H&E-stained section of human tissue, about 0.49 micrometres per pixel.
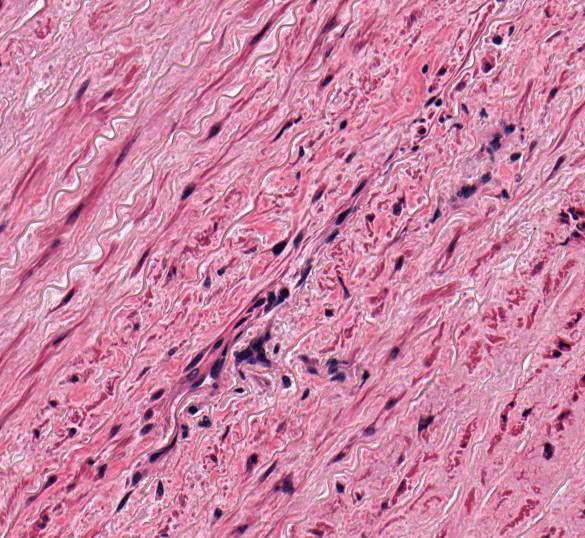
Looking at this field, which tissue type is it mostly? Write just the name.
tunica media of an artery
